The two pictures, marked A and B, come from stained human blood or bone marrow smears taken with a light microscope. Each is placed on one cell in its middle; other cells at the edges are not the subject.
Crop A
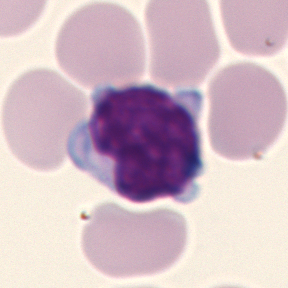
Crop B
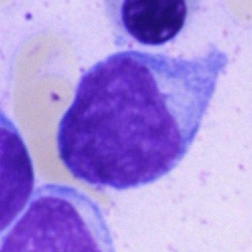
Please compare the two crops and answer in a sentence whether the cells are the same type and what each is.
No, a lymphocyte is what crop A shows, and a blast is what crop B shows.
